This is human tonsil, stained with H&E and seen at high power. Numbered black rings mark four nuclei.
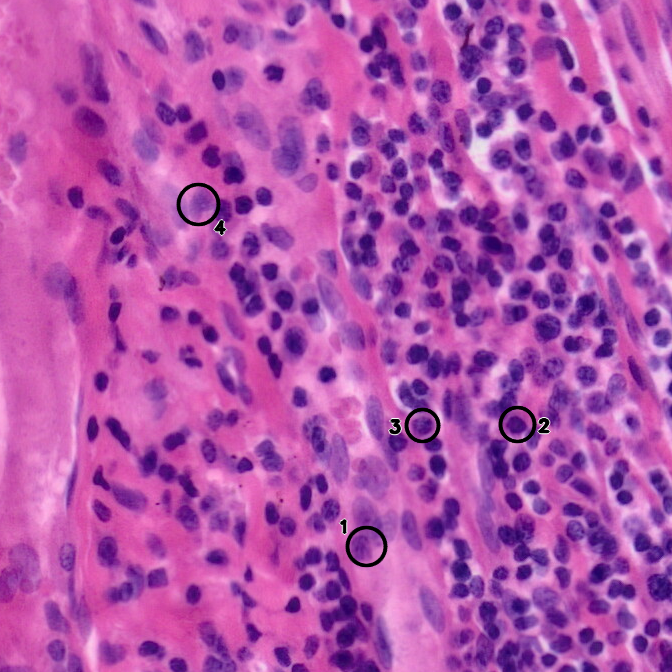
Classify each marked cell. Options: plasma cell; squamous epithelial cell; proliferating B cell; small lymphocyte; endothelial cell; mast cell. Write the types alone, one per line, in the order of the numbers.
endothelial cell
plasma cell
plasma cell
endothelial cell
